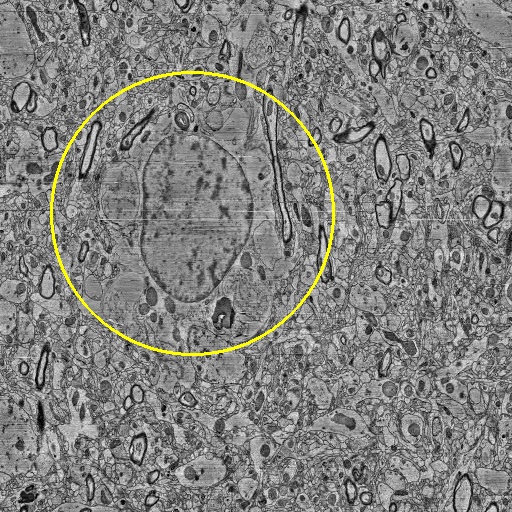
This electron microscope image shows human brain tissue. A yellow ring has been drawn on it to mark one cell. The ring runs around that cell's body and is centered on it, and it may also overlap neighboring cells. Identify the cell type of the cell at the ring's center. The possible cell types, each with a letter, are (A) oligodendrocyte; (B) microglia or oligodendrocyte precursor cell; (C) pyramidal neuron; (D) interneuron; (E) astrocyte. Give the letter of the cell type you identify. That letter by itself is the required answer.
E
